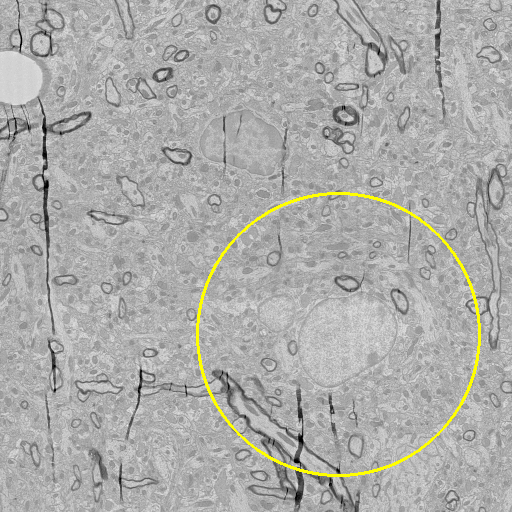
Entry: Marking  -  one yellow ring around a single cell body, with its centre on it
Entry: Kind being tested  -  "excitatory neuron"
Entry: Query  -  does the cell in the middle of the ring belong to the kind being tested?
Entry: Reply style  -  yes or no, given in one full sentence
No, the centred cell within the ring in the picture belongs to a different kind.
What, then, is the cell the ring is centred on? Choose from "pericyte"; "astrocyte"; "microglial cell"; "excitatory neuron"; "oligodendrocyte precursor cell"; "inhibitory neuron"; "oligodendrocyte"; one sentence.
It is an astrocyte at the centre of the ring.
